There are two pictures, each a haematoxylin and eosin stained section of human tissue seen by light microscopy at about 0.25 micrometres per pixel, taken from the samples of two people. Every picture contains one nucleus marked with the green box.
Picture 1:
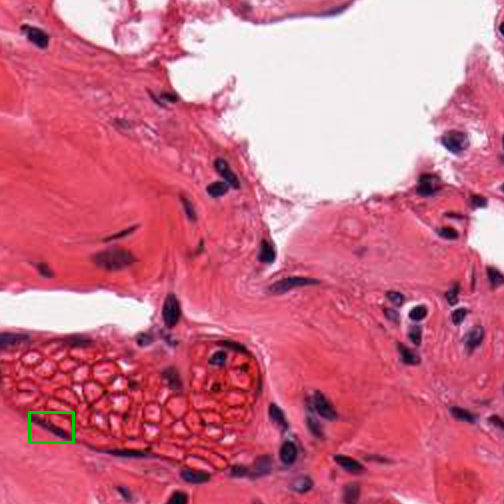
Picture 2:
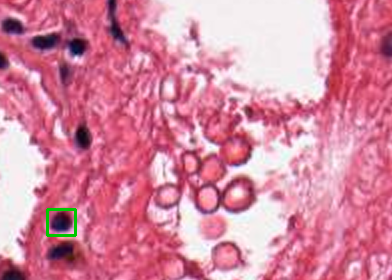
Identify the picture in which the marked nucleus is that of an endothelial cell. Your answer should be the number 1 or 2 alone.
1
